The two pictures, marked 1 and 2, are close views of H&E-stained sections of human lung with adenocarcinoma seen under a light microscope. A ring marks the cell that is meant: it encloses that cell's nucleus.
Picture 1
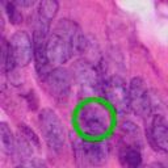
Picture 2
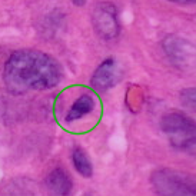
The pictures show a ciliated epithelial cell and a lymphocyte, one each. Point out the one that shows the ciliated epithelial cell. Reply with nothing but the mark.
1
